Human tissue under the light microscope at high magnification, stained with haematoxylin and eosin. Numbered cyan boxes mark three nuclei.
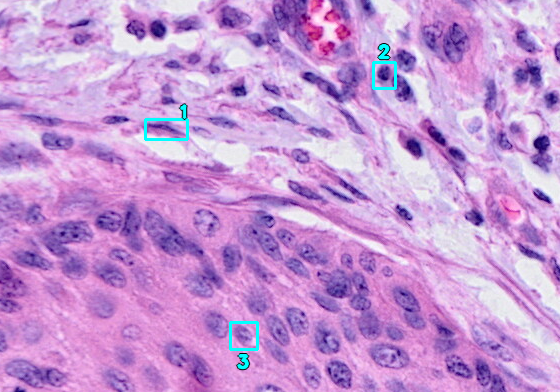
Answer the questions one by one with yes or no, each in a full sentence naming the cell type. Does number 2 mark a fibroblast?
No, the correct answer for cell 2 is a lymphocyte, not a fibroblast.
